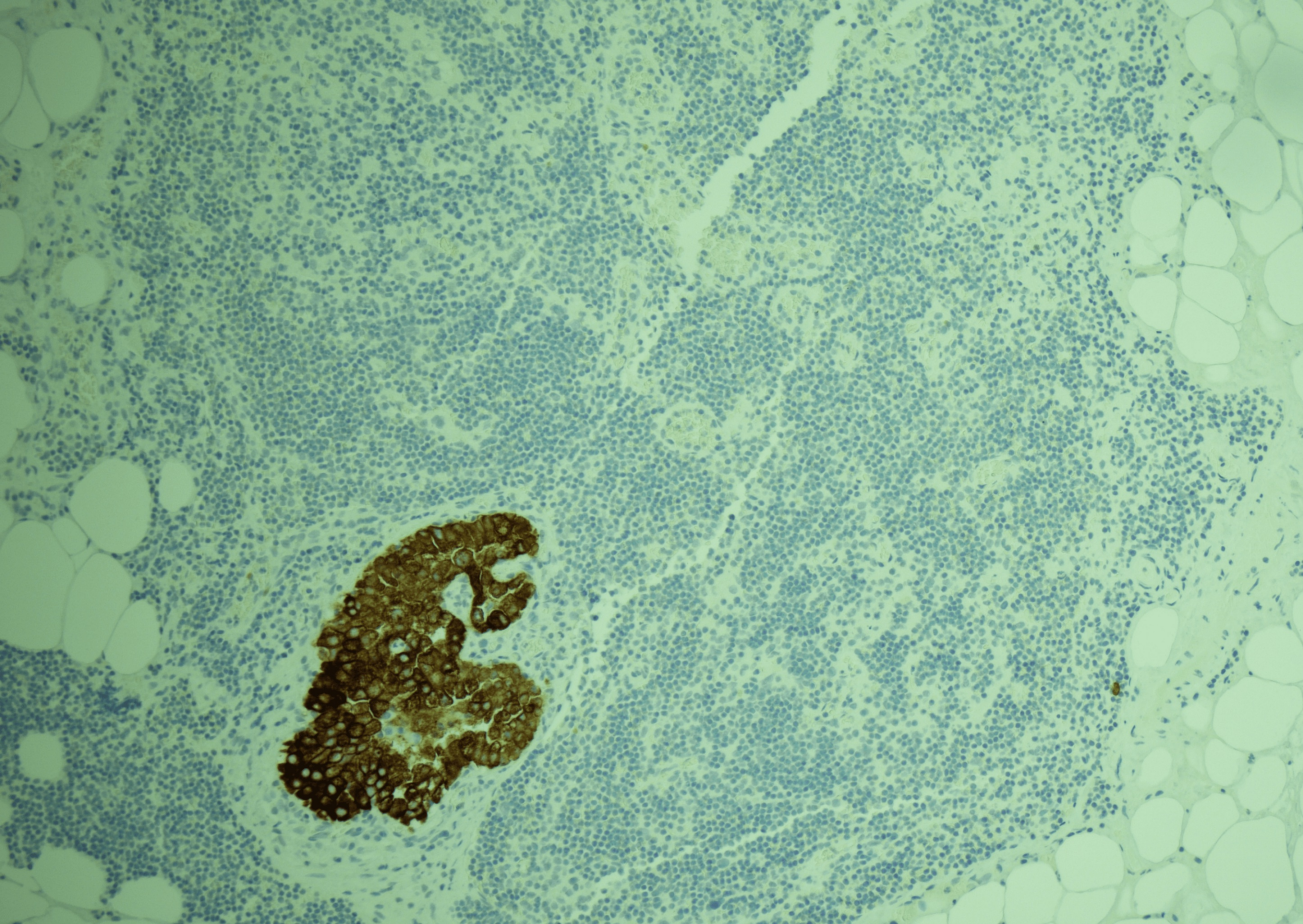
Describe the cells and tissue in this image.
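This is a lymph node in which a small nest of tumor cells has settled among the lymphoid cells. Most of the field is filled with densely packed small round lymphocytes whose dark nuclei take the blue counterstain, and fat cells with empty, rounded outlines line the edges of the node. In the lower left, a cohesive group of much larger epithelial tumor cells stands out in deep brown, folded into gland-like and branching shapes with small clear spaces among them. This brown cluster sits within a thin rim of paler fibrous stroma, sharply set apart from the unstained lymphocytes around it.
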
